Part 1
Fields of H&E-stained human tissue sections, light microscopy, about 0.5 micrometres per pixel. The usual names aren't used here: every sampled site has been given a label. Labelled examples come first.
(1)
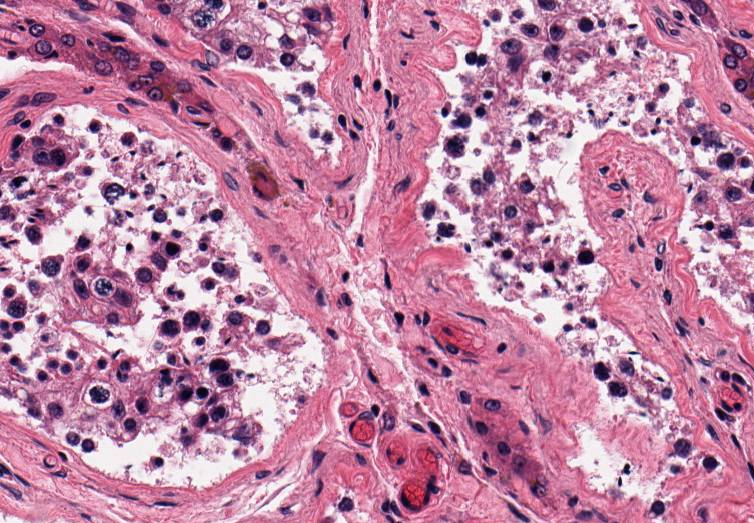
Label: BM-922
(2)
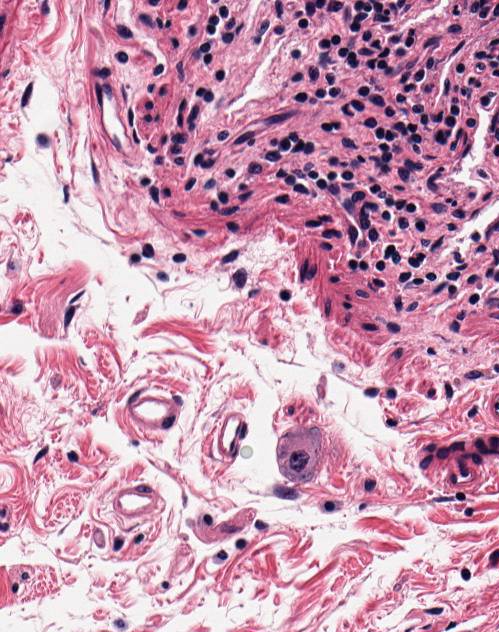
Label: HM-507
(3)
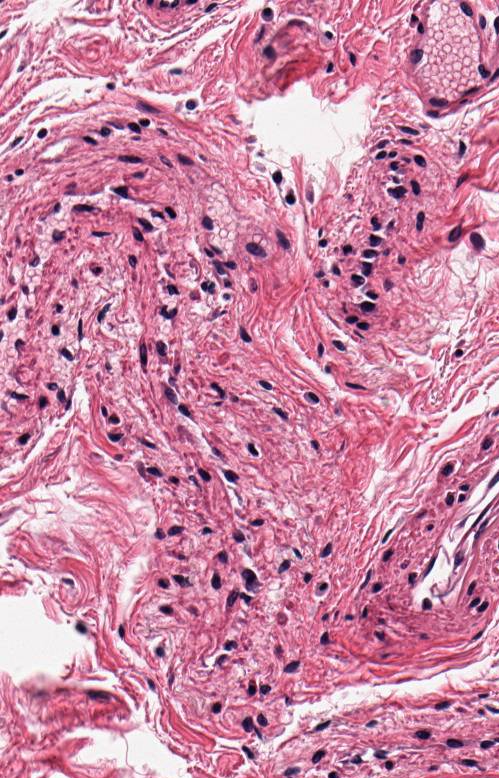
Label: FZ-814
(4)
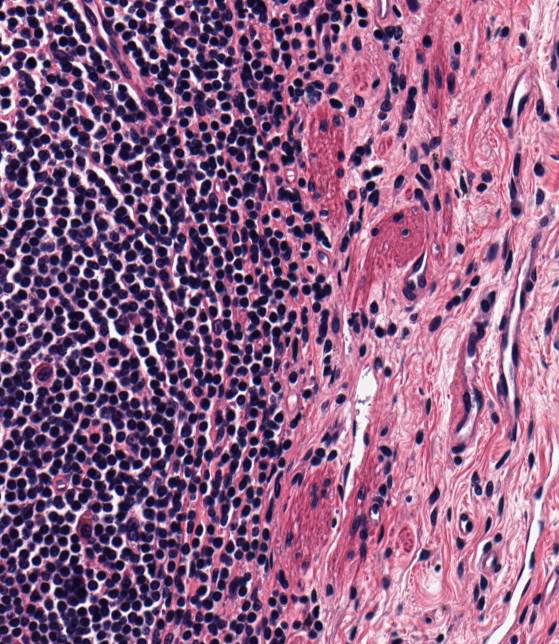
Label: HM-507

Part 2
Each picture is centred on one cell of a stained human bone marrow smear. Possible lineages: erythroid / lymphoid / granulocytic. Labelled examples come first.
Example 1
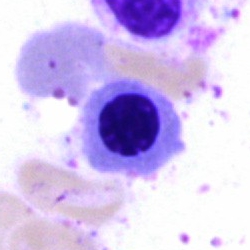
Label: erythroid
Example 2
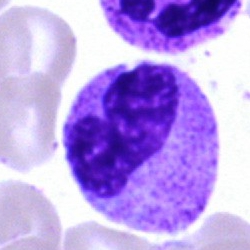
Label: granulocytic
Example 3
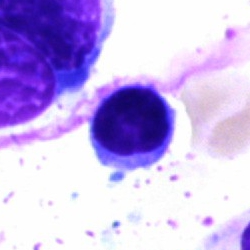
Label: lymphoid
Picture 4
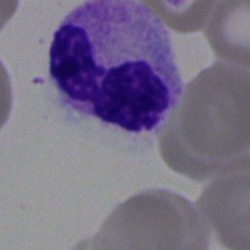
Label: granulocytic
